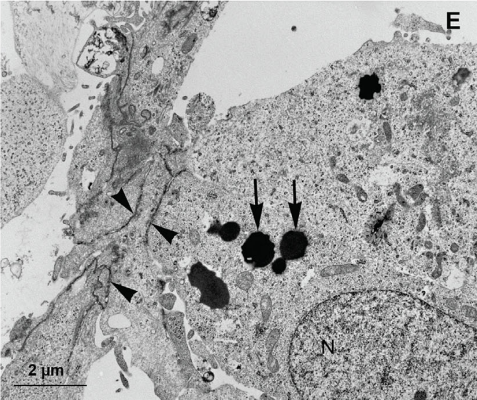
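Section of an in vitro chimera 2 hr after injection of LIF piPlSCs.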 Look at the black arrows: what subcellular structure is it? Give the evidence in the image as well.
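The arrows point to round, very dark bodies in the cytoplasm. The bodies are small and lack a visible internal structure.
Hence: small electron‐dense lipid droplets.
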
